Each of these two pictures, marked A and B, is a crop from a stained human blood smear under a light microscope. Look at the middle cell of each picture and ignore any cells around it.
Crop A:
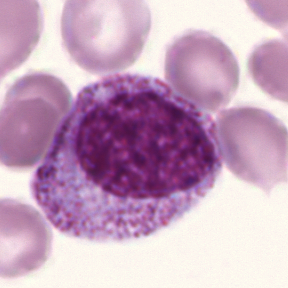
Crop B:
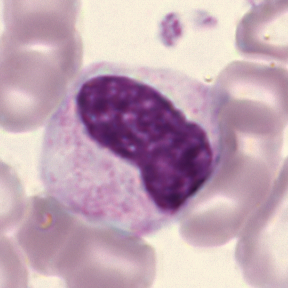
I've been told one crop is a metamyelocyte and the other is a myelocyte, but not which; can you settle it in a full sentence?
The middle of crop A is occupied by a myelocyte, and the middle of crop B by a metamyelocyte.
